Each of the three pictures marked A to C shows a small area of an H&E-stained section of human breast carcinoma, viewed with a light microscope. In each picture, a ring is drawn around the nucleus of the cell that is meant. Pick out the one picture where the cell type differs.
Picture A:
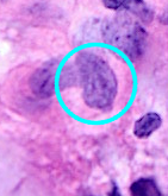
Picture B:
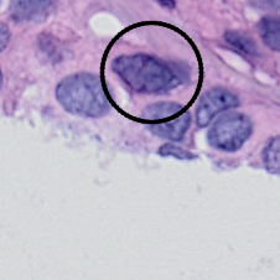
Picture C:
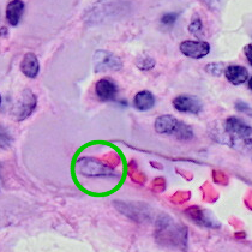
C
